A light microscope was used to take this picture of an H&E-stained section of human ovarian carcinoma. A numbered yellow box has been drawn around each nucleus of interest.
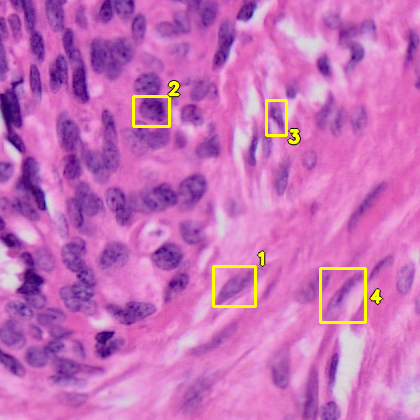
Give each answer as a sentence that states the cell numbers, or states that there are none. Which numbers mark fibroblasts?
Each of the cells numbered 1, 3 and 4 is among the fibroblasts.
